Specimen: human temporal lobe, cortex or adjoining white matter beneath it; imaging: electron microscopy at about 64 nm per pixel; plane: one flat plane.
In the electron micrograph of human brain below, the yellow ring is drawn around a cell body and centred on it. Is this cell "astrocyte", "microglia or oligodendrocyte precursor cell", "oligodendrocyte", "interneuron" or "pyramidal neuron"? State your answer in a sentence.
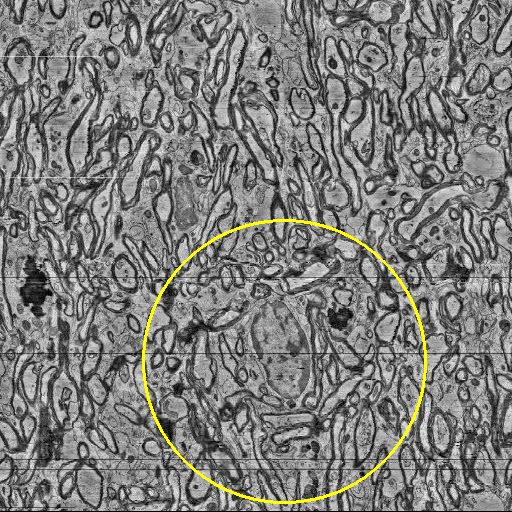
The cell in the middle of the ring is a microglial cell or oligodendrocyte precursor cell.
